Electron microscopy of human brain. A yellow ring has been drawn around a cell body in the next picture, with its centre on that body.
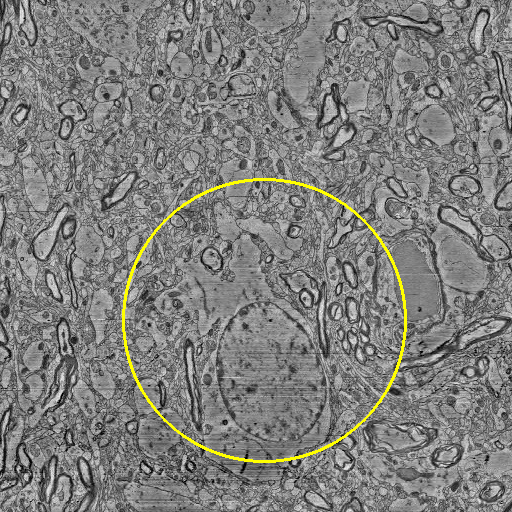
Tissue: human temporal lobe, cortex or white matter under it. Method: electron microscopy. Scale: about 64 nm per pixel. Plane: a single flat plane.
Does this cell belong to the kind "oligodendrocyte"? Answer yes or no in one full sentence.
No, the ringed cell in this picture, sitting at the ring's centre, is of another kind.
